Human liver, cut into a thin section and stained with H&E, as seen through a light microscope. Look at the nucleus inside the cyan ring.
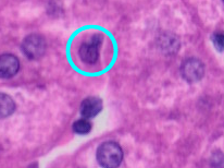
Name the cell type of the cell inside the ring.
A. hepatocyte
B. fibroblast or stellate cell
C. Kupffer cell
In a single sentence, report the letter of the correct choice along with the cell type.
Exactly as option C gives it, the cell inside the ring is a Kupffer cell.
